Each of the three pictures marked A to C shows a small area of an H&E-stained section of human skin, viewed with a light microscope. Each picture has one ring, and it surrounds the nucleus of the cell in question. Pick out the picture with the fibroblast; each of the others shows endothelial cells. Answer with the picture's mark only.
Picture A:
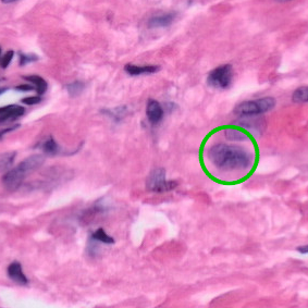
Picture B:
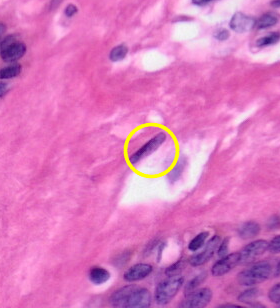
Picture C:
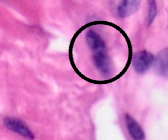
B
